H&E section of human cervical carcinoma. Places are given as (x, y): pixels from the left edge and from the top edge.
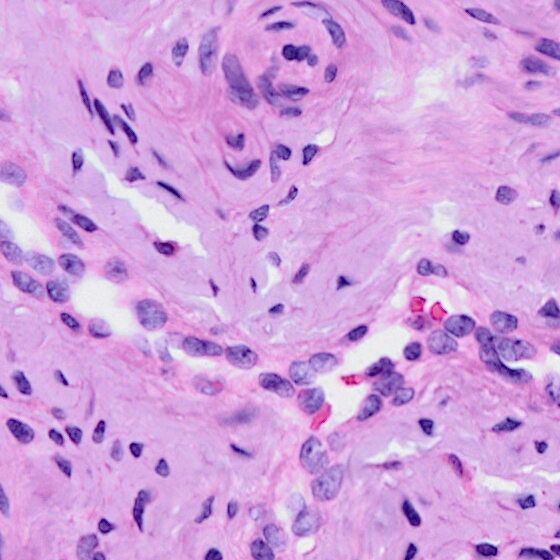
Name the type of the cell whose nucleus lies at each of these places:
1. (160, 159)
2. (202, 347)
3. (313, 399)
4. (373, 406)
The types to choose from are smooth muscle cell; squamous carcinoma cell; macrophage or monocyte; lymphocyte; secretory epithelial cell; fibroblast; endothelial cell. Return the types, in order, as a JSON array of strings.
["fibroblast", "endothelial cell", "endothelial cell", "endothelial cell"]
